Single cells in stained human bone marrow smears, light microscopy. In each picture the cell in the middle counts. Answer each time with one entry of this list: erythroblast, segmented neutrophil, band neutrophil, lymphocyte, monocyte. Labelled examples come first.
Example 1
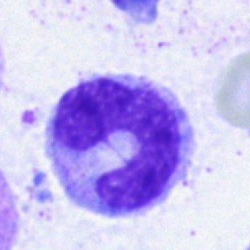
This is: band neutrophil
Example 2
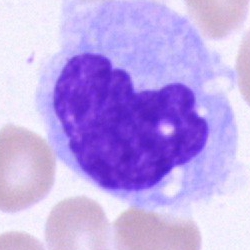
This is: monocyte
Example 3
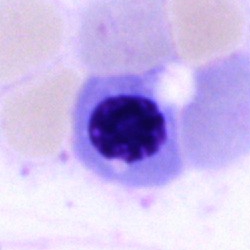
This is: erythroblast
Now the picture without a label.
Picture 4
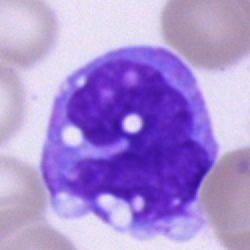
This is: monocyte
